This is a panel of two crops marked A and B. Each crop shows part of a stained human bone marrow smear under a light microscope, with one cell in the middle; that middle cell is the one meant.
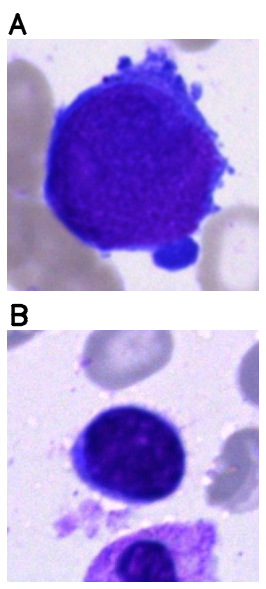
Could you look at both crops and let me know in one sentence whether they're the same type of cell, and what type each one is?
No, the middle of crop A shows a blast, and the middle of crop B shows a lymphocyte.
